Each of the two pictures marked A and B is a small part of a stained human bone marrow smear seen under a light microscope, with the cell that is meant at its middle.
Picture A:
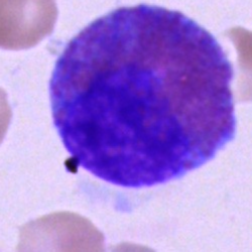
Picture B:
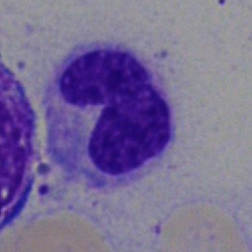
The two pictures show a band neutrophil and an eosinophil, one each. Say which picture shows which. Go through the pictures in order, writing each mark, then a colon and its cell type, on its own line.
A: eosinophil
B: band neutrophil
